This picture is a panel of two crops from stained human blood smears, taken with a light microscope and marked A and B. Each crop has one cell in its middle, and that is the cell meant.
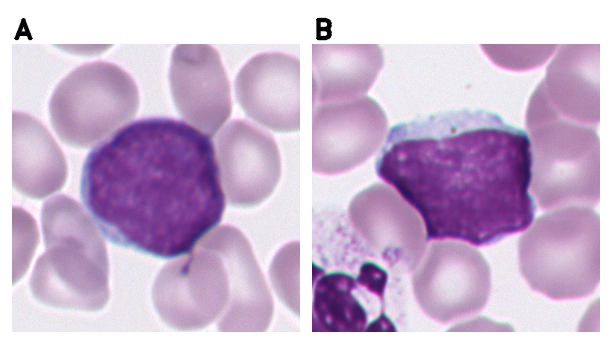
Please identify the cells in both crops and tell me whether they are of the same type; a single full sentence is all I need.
No, crop A depicts a myeloblast, and crop B depicts a typical lymphocyte.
